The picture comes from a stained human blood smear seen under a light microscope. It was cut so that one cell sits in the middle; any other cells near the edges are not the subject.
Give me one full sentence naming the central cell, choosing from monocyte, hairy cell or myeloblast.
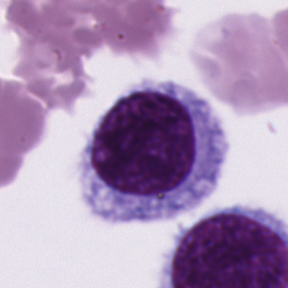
For this crop, the central cell is a hairy cell.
